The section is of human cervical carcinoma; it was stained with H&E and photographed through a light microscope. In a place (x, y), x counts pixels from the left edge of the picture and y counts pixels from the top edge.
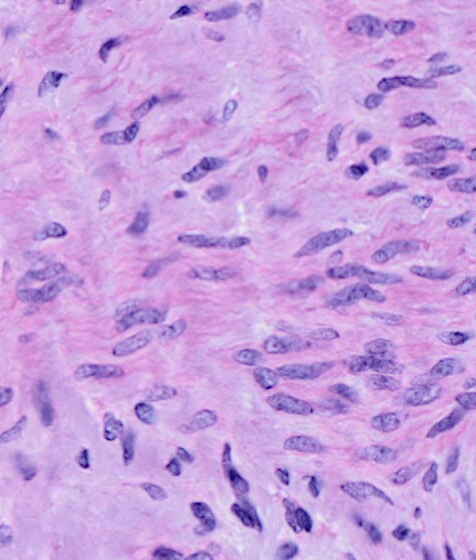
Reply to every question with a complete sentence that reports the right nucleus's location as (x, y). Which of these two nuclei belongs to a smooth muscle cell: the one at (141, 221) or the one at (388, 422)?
The nucleus at (388, 422) is part of a smooth muscle cell, while the other is not.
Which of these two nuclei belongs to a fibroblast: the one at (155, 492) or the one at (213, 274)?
Of these two nuclei, it is the one at (155, 492) that belongs to a fibroblast.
